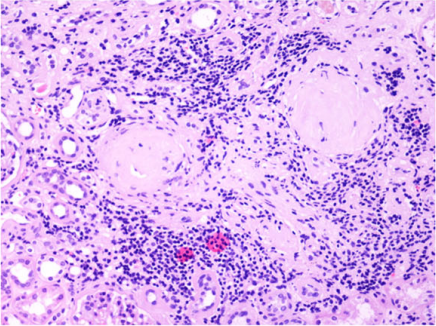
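This is renal tissue at the edge of the lesion, with two sclerosed glomeruli surrounded by chronic inflammation. The glomeruli are round and replaced by homogeneous pink acellular material. Around them and between the small tubules lie dense collections of small lymphocytes with round dark nuclei. The tubules are small and separated by increased fibrous stroma. A few clusters of red blood cells are present among the infiltrate.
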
